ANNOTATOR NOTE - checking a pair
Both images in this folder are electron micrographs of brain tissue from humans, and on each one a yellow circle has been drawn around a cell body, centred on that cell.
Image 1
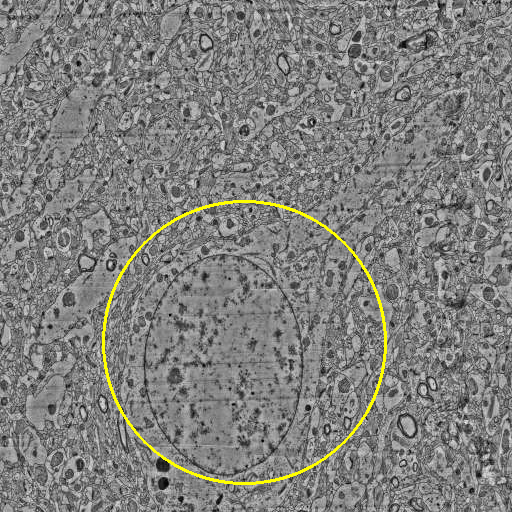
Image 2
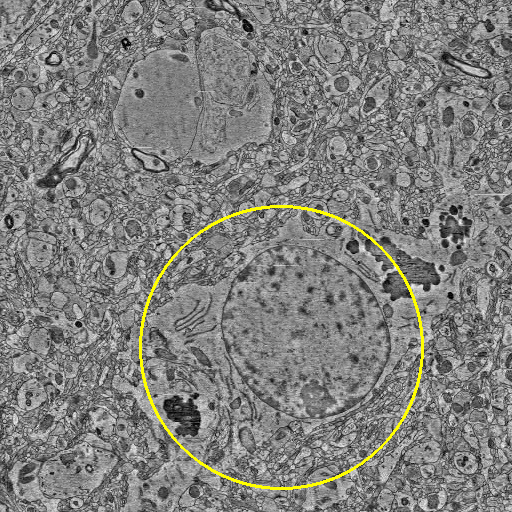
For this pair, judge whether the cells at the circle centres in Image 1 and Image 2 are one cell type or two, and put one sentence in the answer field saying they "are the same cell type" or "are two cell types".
For this pair, the cells at the circle centres in Images 1 and 2 are two cell types.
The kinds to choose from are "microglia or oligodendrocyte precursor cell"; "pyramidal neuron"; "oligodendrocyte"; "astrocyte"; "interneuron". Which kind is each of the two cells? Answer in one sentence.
Of the two, the first cell is a pyramidal neuron and the second cell is an astrocyte.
